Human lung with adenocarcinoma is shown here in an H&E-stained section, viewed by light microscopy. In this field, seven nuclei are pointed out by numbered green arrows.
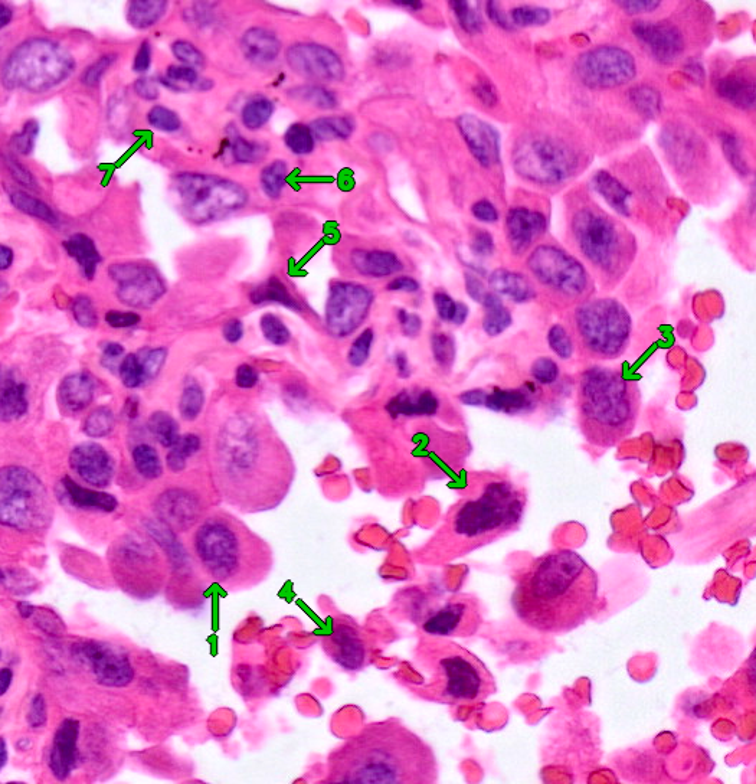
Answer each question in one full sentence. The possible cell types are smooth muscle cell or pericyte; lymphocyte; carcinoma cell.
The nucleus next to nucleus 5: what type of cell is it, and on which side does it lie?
Lying below nucleus 5, the nearest nucleus is that of a lymphocyte.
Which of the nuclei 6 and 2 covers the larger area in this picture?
It is nucleus 2, which covers about 3 times the area of nucleus 6.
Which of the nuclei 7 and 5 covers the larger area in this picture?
Nucleus 5 covers more area, about 1.5 times as much as nucleus 7.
